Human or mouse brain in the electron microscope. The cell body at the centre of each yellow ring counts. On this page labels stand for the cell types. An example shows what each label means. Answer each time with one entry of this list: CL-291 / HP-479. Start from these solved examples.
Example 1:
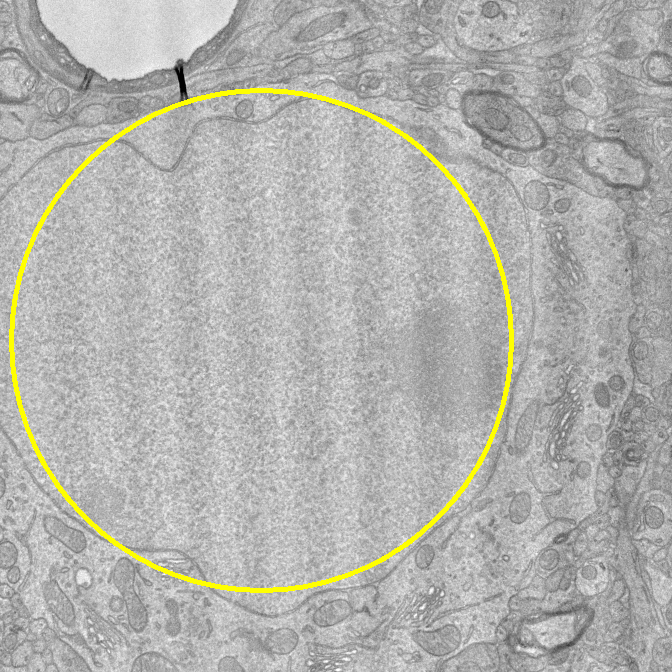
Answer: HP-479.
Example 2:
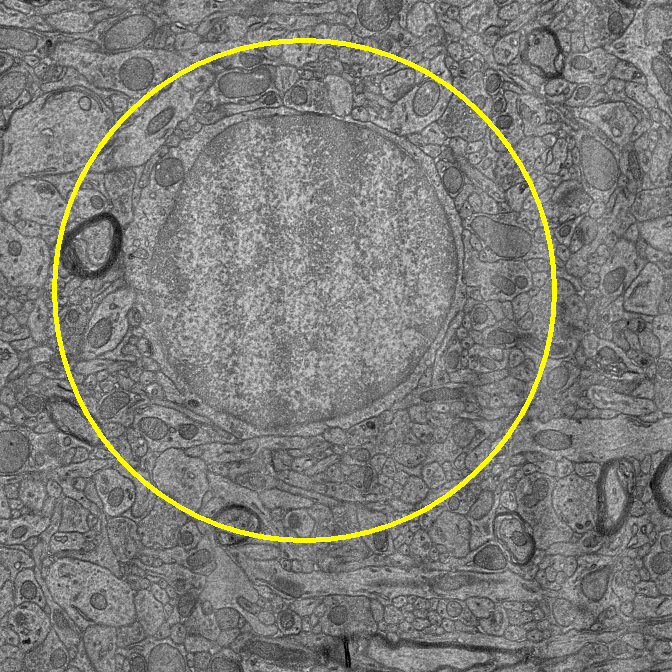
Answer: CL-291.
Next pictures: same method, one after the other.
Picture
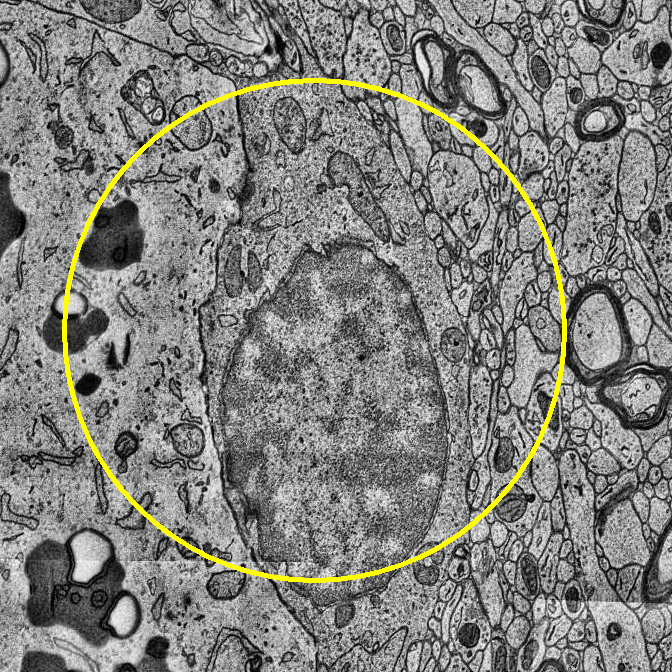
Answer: CL-291.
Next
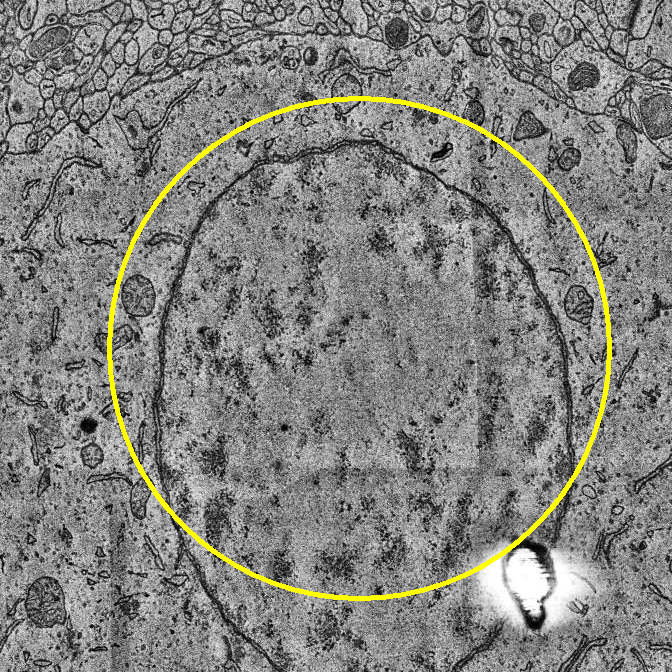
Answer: HP-479.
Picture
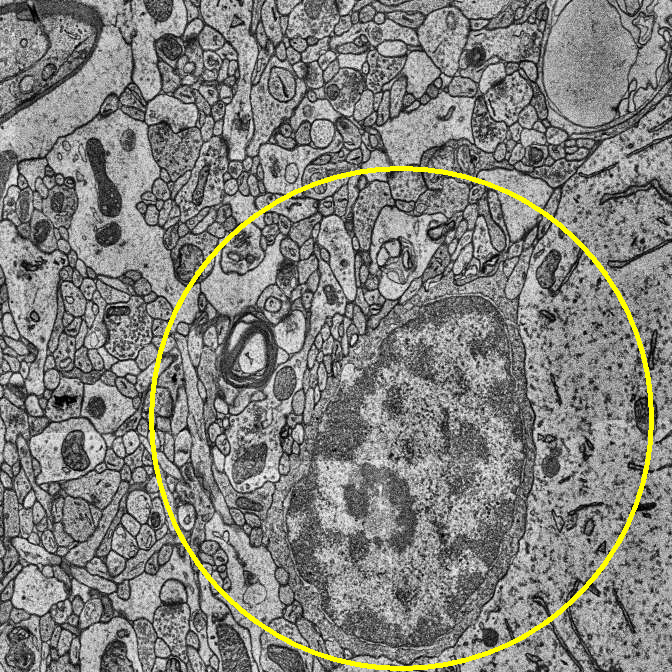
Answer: CL-291.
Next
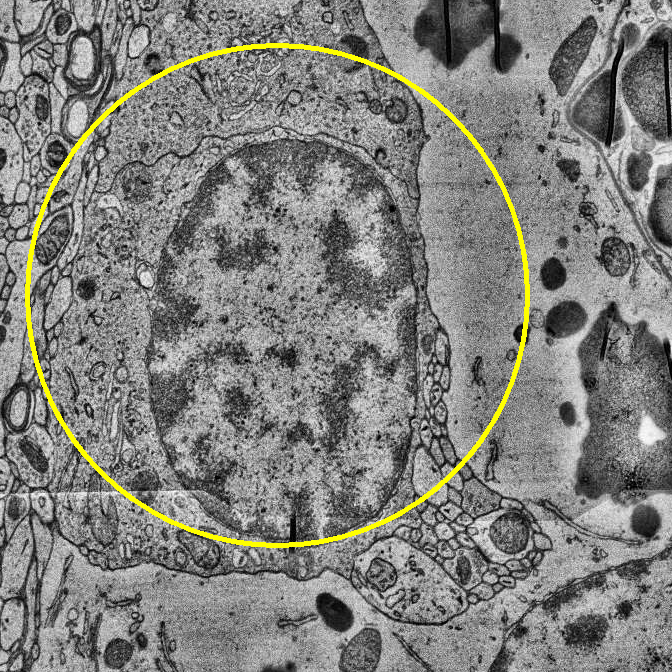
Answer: CL-291.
